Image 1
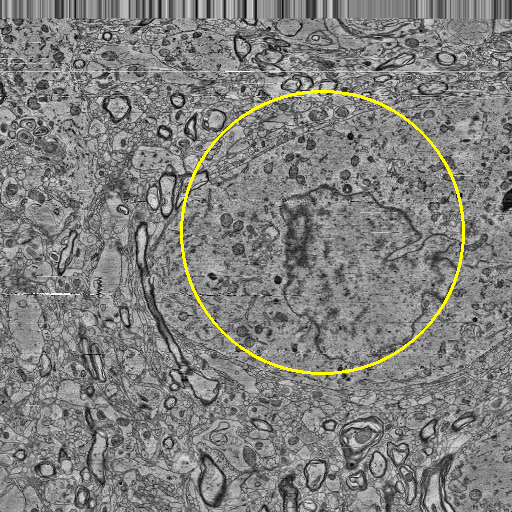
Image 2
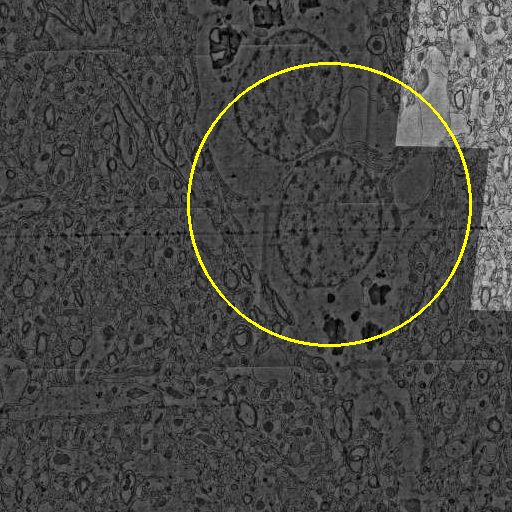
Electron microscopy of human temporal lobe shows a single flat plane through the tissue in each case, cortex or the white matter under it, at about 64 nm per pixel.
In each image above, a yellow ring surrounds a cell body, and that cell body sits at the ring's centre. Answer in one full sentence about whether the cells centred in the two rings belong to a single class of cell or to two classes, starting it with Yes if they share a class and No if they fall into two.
No, the cells centred in the two yellow rings belong to two classes of cell.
